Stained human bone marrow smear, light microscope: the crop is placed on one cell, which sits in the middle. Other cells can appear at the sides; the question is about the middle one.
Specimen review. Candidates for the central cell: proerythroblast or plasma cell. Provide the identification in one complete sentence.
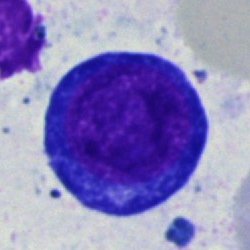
The middle of this crop is occupied by a proerythroblast.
